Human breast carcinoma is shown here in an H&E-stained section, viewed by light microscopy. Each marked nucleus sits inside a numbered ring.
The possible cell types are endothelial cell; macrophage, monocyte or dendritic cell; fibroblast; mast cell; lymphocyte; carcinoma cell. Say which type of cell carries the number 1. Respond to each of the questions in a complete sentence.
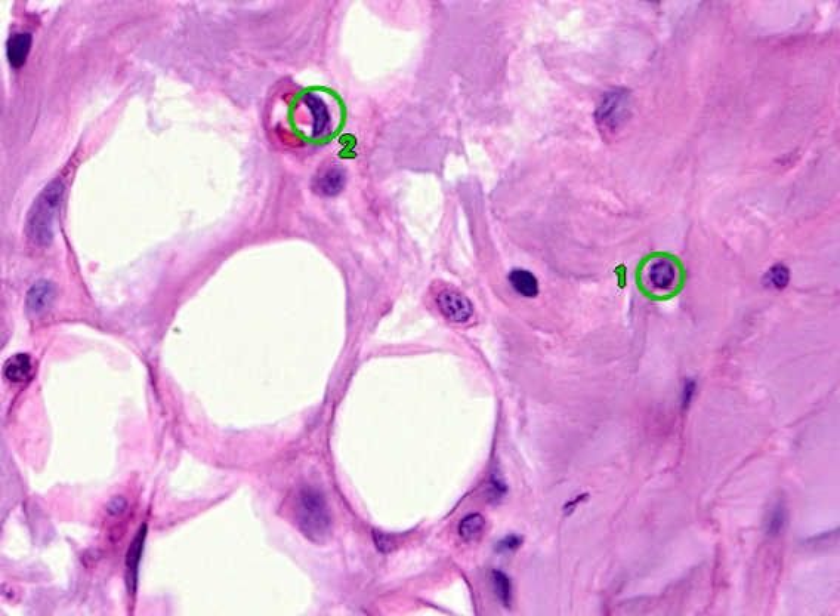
In this section, the cell numbered 1 is a mast cell.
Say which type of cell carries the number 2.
Corresponding to an endothelial cell is the cell labelled 2.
